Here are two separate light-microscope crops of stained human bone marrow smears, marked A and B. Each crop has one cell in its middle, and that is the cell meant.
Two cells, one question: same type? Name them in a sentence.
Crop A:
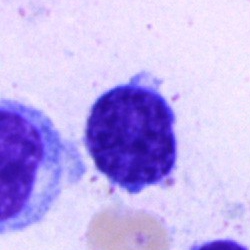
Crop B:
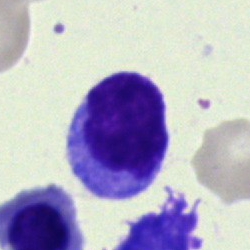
Yes, the middle cells in both crops are indeed lymphocytes.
